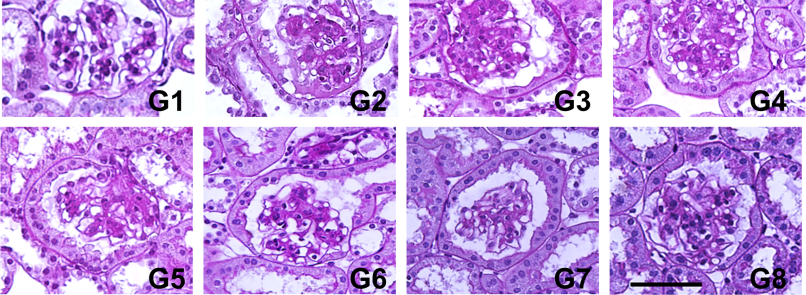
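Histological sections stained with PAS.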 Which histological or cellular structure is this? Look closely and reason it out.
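Glomeruli. Each frame is centred on a round capillary tuft. Each tuft is surrounded by cross-sections of tubules lined by cuboidal epithelium.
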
